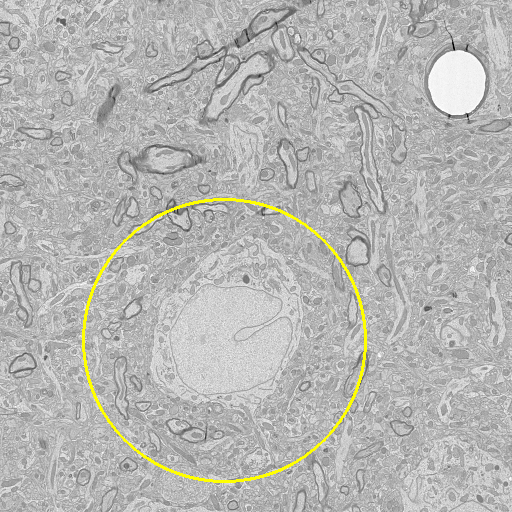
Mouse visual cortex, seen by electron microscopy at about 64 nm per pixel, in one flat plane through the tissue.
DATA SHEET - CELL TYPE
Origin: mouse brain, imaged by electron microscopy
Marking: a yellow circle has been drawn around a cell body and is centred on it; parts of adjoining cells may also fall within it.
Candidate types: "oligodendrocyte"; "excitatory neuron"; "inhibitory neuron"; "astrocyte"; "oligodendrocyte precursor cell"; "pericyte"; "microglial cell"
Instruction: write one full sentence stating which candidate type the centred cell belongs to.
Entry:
The cell body at the centre of the yellow ring in this micrograph belongs to an excitatory neuron.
